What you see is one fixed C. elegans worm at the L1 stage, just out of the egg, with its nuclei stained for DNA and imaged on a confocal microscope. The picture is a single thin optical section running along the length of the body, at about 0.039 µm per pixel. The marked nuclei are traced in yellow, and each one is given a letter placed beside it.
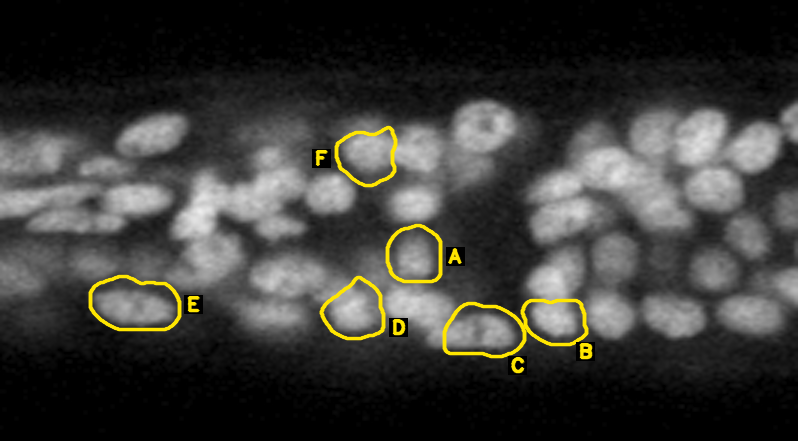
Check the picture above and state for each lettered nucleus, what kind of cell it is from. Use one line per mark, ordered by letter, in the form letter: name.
A: neuron
B: neuron
C: body wall muscle cell
D: neuron
E: body wall muscle cell
F: glial cell (sheath or socket)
